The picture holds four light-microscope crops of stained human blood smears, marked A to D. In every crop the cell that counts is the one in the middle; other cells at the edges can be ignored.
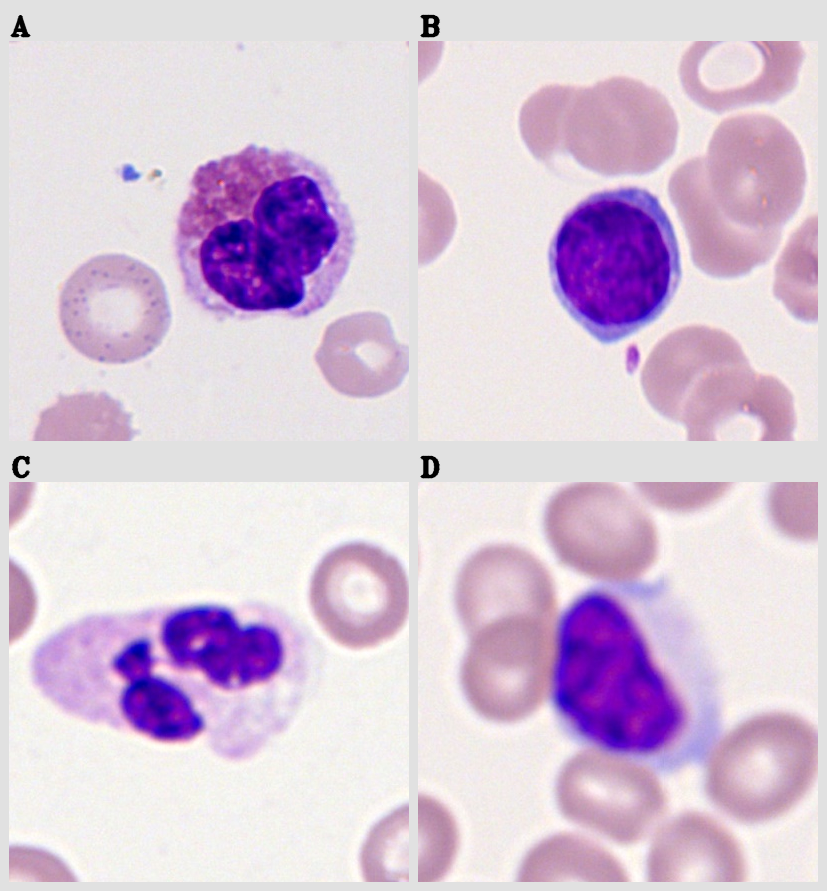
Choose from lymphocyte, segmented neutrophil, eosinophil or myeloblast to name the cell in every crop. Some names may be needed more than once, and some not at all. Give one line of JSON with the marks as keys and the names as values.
{"A": "eosinophil", "B": "lymphocyte", "C": "segmented neutrophil", "D": "lymphocyte"}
